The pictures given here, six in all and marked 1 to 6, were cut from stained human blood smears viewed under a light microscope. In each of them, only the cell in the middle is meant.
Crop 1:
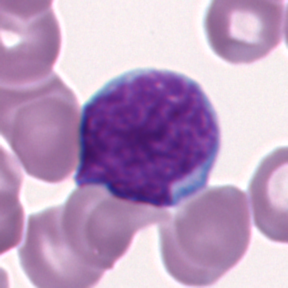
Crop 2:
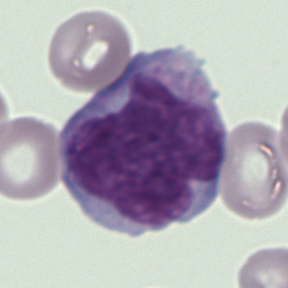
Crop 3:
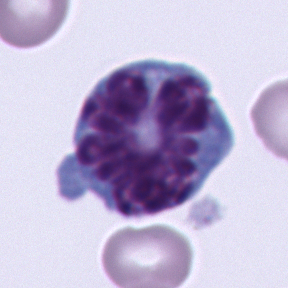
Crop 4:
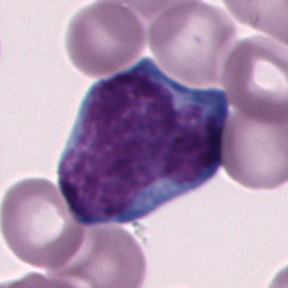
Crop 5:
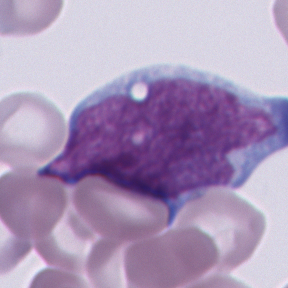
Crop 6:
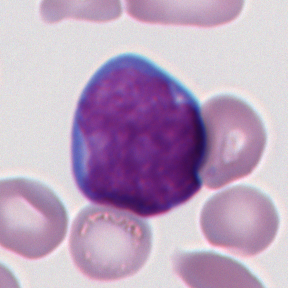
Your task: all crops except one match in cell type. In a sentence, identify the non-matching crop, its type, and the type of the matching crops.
Crop 2 presents an atypical promyelocyte, while myeloblasts are presented by all other crops.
